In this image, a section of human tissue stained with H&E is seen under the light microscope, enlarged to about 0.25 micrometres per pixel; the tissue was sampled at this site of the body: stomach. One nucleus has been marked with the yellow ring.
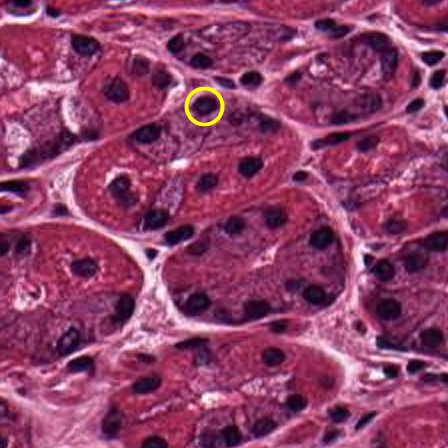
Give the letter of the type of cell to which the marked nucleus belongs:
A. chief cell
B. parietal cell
A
